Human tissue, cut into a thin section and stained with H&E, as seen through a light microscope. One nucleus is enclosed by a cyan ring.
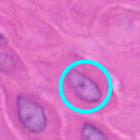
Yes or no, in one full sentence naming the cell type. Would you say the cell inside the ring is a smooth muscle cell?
No, it is a keratinocyte that the cell inside the ring is, rather than a smooth muscle cell.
